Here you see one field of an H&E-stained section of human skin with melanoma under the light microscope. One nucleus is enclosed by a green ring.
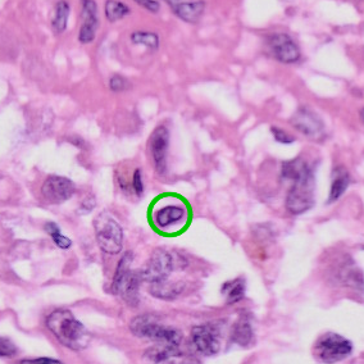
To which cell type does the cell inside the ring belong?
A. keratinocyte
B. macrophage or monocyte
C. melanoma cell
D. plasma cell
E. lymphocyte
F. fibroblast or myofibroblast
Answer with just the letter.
B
